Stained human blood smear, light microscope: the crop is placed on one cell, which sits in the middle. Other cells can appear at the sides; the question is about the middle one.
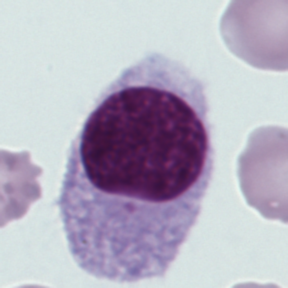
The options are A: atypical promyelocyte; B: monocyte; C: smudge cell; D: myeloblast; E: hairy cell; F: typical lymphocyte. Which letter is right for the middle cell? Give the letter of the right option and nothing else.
E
